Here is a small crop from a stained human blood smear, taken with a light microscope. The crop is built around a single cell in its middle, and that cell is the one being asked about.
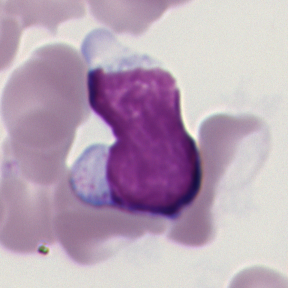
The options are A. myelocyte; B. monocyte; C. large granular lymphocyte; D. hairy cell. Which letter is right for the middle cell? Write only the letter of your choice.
C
